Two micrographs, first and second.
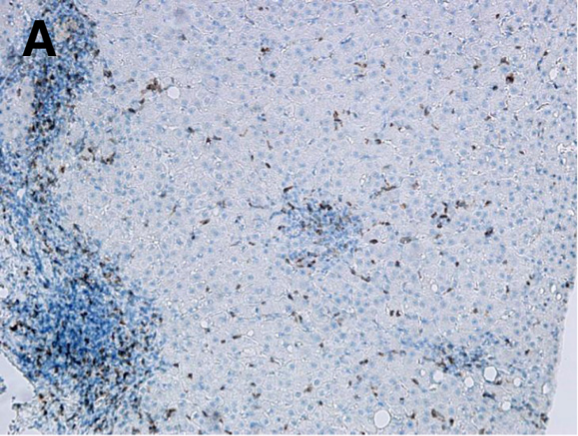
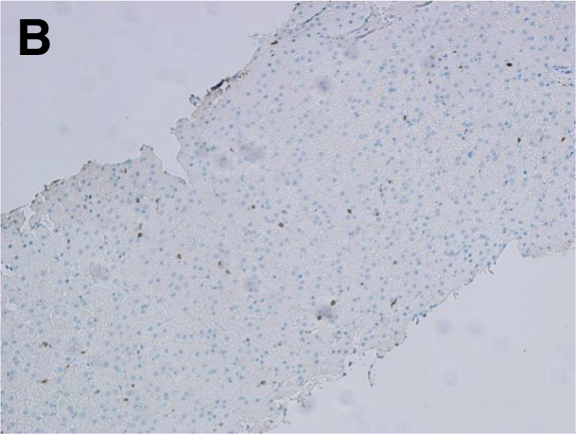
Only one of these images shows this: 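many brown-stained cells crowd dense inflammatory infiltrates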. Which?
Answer: The first image.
